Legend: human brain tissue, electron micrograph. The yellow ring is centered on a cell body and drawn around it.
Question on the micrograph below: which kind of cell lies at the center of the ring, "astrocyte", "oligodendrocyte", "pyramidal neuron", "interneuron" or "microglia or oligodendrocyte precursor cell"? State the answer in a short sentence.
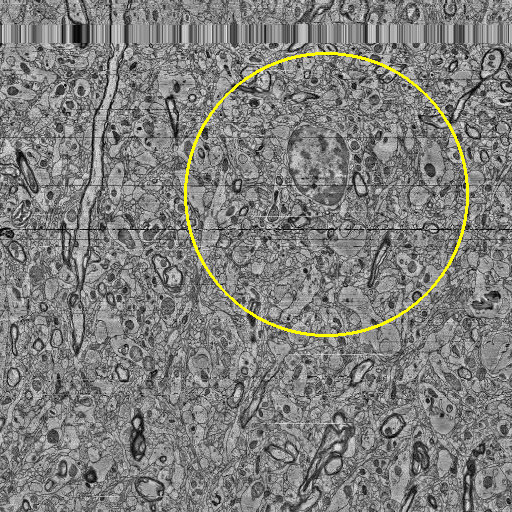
At the center of the ring lies a microglial cell or oligodendrocyte precursor cell.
